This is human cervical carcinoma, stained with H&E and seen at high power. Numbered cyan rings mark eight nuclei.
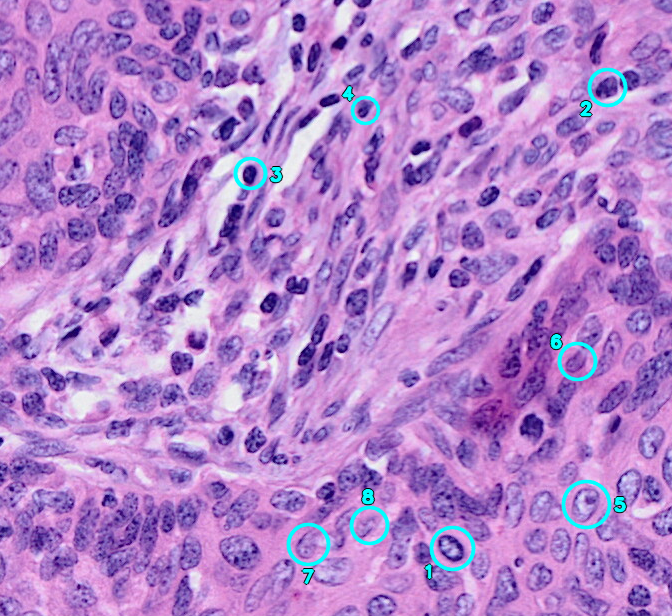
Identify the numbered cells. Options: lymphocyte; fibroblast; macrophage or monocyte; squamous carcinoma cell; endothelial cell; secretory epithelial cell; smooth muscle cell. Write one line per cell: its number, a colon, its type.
1: squamous carcinoma cell
2: lymphocyte
3: lymphocyte
4: lymphocyte
5: squamous carcinoma cell
6: squamous carcinoma cell
7: squamous carcinoma cell
8: squamous carcinoma cell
